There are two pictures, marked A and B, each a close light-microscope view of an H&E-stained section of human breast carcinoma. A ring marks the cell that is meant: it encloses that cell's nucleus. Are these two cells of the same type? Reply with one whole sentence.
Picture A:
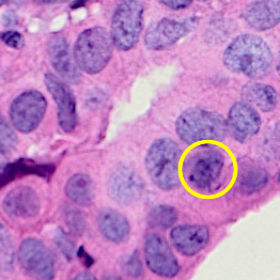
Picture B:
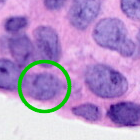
Yes, they are the same type: both are carcinoma cells.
